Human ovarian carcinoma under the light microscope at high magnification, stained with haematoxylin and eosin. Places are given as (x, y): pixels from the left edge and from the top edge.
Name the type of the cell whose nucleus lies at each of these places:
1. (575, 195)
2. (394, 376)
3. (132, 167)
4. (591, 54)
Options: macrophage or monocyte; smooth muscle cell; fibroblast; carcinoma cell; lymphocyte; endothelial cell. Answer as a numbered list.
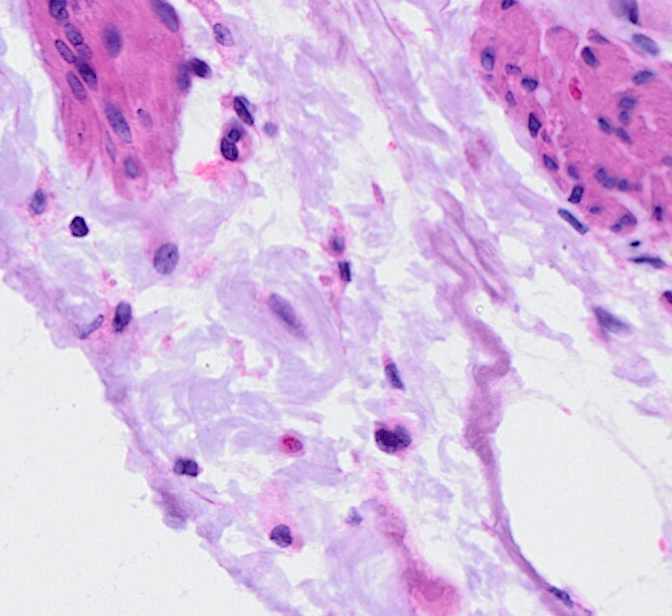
1. smooth muscle cell
2. fibroblast
3. smooth muscle cell
4. smooth muscle cell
